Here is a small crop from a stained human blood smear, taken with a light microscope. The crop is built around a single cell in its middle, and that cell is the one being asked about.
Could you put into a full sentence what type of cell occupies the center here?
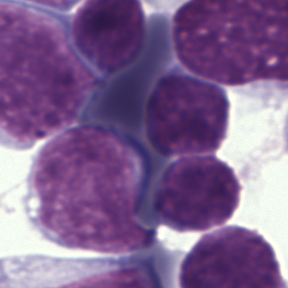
The cell of interest, in the center, is a myeloblast.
